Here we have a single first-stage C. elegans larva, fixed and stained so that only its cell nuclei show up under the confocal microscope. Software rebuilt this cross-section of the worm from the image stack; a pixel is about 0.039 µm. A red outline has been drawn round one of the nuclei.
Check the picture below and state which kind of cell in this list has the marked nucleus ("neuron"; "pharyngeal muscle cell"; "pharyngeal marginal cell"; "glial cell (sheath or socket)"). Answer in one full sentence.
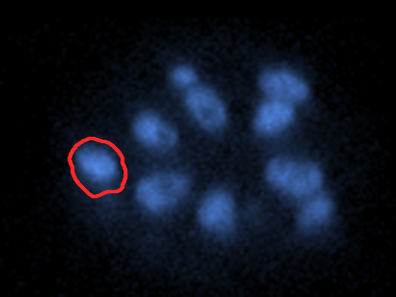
It is the nucleus of a neuron.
